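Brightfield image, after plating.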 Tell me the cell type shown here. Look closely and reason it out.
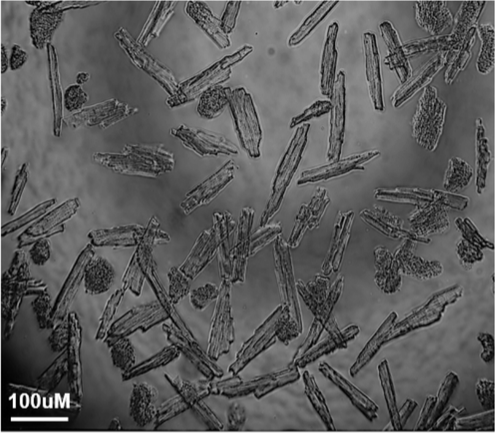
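Many separate, elongated rod-shaped cells with blunt, squared or stepped ends. Rods lie free and scattered, not joined into a tissue.
Answer: isolated cardiomyocytes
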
